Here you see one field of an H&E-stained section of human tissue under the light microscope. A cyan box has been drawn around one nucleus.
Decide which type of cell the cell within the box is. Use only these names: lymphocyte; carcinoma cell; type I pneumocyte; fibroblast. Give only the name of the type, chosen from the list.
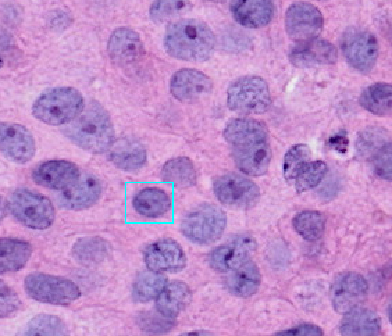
carcinoma cell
